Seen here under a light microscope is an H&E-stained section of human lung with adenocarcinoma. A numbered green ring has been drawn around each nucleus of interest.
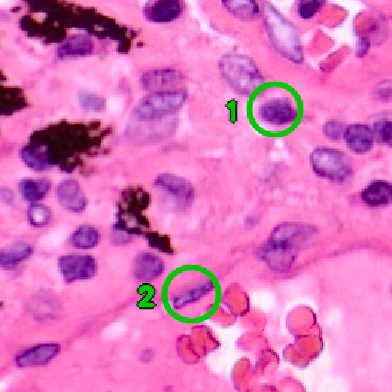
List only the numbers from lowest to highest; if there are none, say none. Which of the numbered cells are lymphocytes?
1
